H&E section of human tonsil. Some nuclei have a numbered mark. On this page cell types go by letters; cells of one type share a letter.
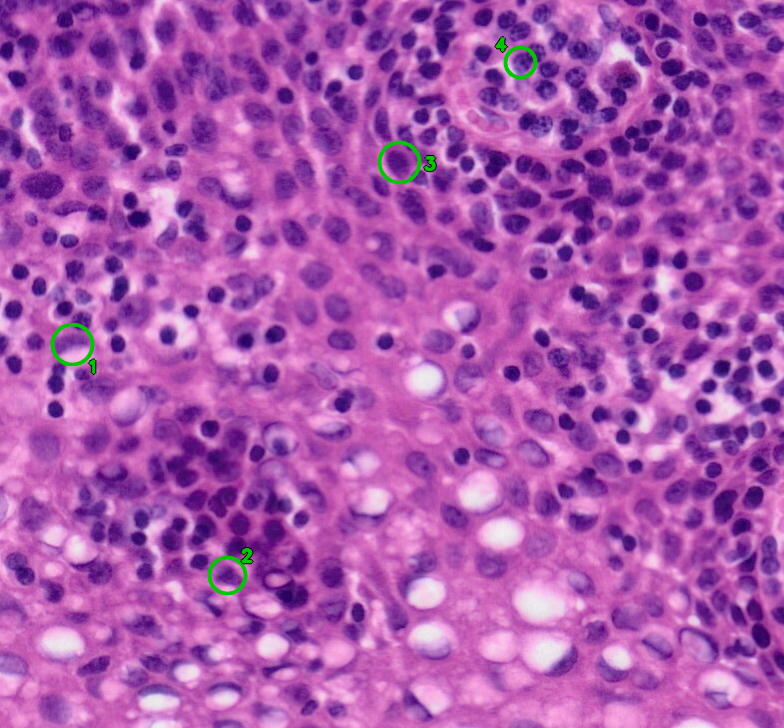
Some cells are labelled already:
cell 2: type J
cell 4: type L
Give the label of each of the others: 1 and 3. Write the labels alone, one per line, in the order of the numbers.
type J
type J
